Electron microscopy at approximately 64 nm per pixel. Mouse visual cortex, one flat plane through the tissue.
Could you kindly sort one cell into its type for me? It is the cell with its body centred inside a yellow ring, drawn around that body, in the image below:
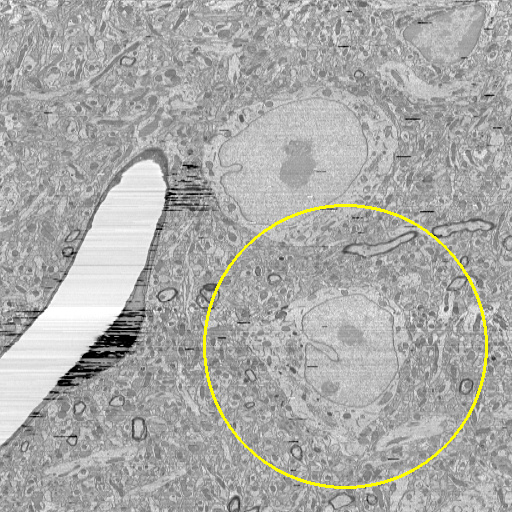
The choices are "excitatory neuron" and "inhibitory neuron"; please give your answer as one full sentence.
The cell whose body lies centred in the yellow ring here is an excitatory neuron.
